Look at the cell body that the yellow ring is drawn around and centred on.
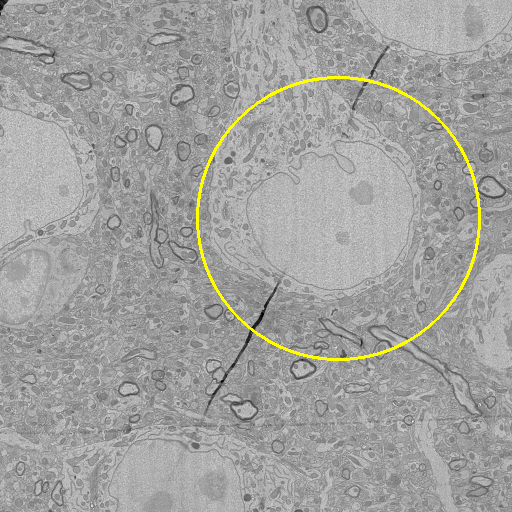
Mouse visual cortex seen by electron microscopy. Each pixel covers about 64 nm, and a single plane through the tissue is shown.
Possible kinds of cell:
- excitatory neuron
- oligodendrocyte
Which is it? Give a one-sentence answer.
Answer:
The centred cell body is that of an excitatory neuron.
